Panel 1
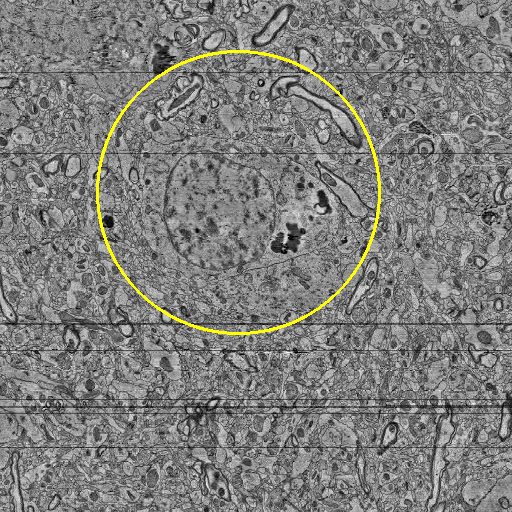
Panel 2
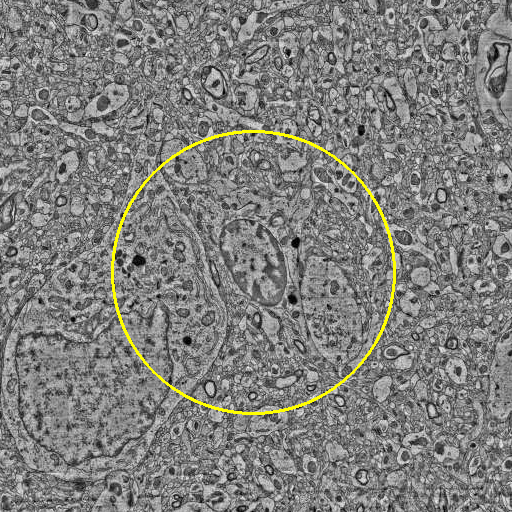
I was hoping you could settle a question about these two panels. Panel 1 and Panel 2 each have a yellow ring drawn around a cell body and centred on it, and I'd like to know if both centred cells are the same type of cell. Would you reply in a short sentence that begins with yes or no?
No, they are two types of cell.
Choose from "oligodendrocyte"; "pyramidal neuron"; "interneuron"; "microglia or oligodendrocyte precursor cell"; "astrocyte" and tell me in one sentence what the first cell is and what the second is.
What the first ring is centred on is an interneuron; what the second ring is centred on is a microglial cell or oligodendrocyte precursor cell.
